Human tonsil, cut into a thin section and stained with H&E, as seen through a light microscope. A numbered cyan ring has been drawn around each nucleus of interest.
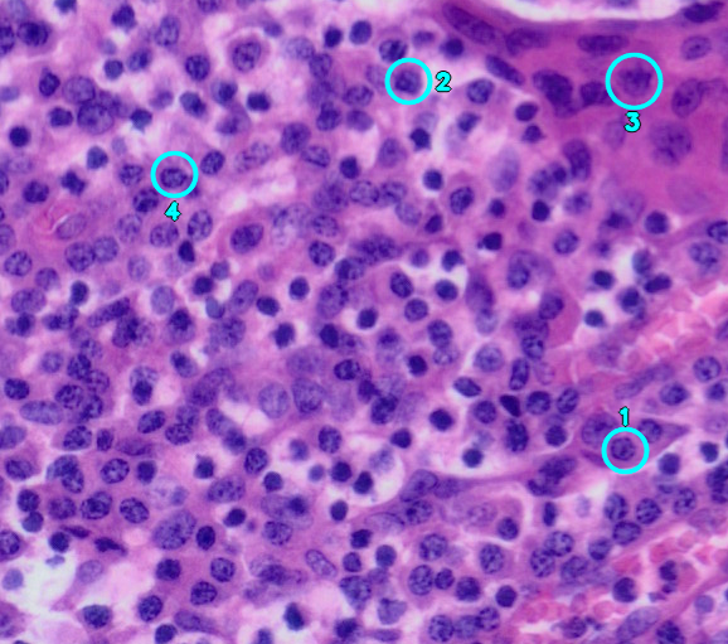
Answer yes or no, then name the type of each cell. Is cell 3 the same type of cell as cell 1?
No, cell 3 is a squamous epithelial cell and cell 1 is a plasma cell.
